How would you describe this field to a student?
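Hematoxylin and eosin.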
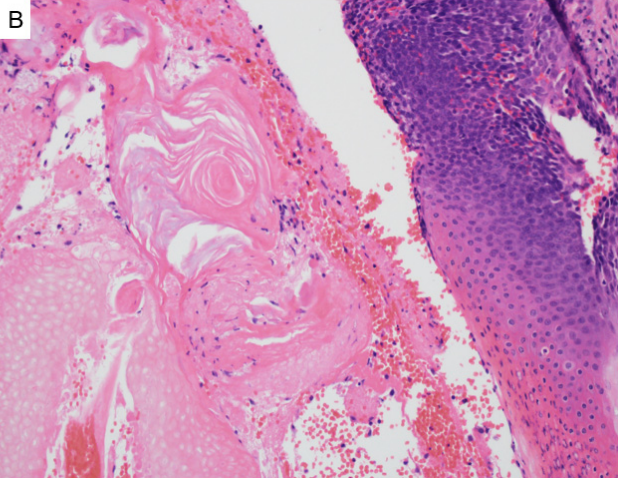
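On the right lies a band of closely packed cells with round to oval purple nuclei and scant cytoplasm, forming a dense, darkly staining sheet. To the left, separated by a strip of red blood cells and loose stroma, are masses of pale pink cells that have no visible nuclei; only their ghostly outlines remain, some arranged in concentric whorls.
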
